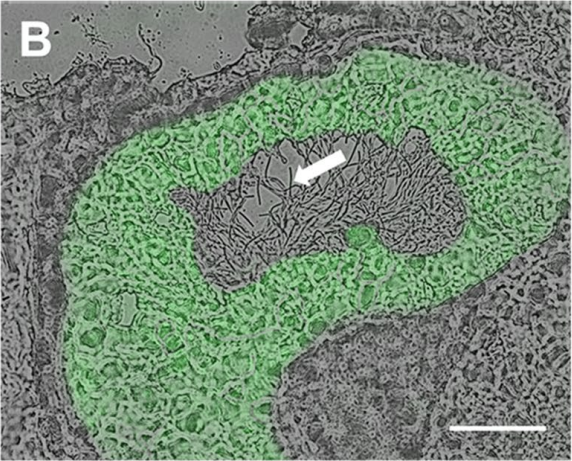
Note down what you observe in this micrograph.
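A cut through a curved seminiferous tubule shows a thick wall of many closely packed rounded cells, stacked in several layers and lit green throughout, around an irregular central lumen. The lumen is filled with a tangle of thin, elongated, thread-like profiles, much finer than the cells of the wall; these are sperm, showing that cells in this tubule have gone all the way through spermatogenesis. Outside the green tubule lie neighbouring tubule profiles and interstitial tissue that carry no green, seen only in grey phase-like contrast, so the green wall stands out sharply against its surroundings.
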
